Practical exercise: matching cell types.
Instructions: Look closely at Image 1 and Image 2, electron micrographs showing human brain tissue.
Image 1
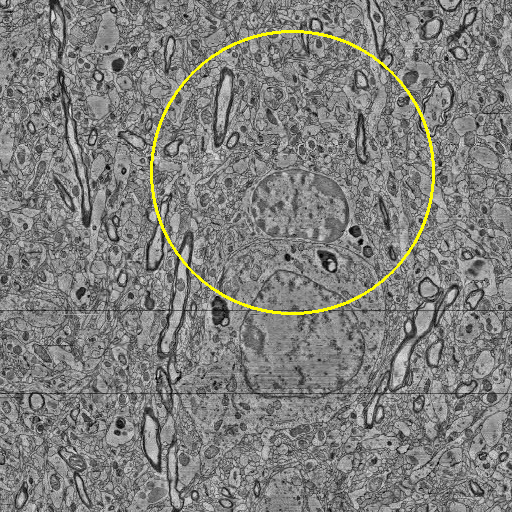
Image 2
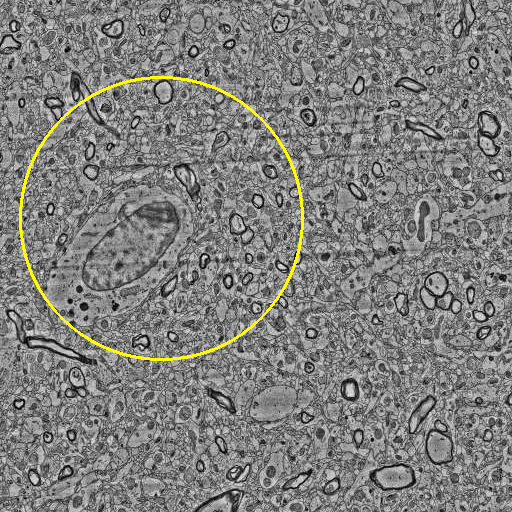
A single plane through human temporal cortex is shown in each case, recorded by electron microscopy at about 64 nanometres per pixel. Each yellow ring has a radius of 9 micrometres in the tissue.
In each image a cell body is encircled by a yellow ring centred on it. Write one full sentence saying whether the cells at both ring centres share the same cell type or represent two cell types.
Across Image 1 and Image 2, the cells at the ring centres share the same cell type.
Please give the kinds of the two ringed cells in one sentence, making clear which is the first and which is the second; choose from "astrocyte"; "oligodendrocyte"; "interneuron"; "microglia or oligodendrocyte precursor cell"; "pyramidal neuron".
The ring centre holds a microglial cell or oligodendrocyte precursor cell in each of the two pictures.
